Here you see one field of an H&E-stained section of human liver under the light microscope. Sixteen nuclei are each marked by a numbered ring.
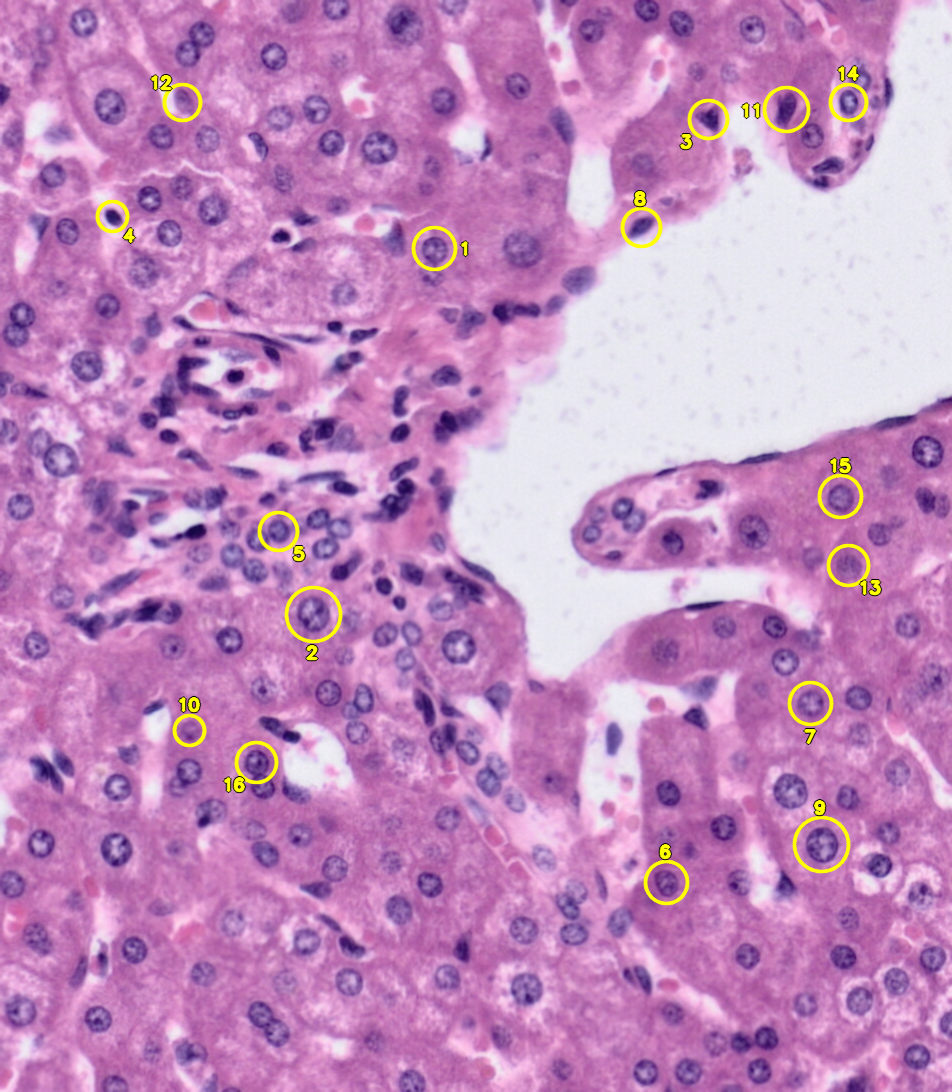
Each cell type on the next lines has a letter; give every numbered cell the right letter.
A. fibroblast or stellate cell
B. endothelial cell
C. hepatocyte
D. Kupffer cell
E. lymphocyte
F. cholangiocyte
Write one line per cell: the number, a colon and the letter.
1: C
2: C
3: A
4: E
5: F
6: C
7: C
8: A
9: C
10: C
11: A
12: D
13: C
14: F
15: C
16: C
